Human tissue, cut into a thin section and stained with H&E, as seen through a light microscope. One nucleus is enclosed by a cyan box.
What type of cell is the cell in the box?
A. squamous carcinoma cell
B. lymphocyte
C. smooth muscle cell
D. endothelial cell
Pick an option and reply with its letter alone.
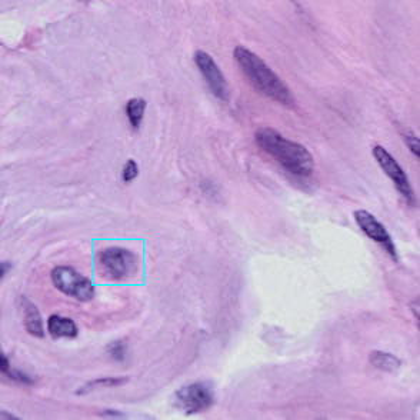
D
